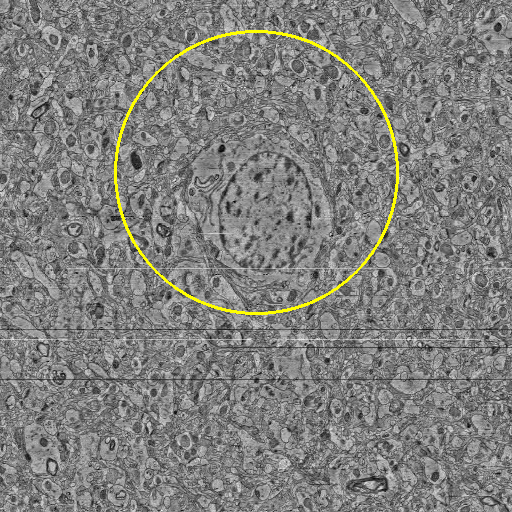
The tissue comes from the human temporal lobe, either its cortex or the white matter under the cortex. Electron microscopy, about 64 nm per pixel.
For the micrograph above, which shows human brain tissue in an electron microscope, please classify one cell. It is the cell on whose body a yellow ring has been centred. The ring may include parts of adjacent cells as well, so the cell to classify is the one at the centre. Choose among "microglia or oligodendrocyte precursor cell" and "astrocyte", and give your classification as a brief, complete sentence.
I classify this cell as an astrocyte.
